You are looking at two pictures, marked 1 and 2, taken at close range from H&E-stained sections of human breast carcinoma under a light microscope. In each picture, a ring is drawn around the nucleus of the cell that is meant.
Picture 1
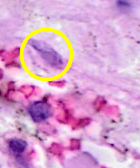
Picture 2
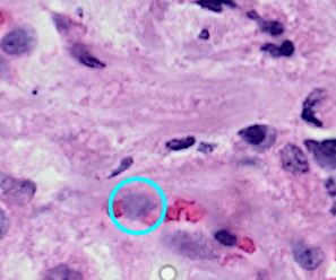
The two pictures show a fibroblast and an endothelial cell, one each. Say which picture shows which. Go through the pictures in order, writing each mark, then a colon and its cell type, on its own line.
1: fibroblast
2: endothelial cell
